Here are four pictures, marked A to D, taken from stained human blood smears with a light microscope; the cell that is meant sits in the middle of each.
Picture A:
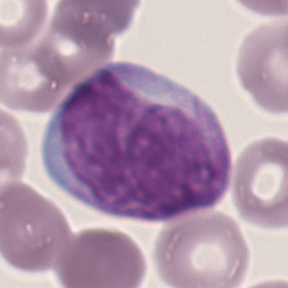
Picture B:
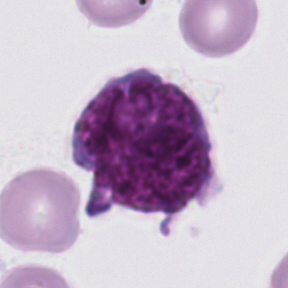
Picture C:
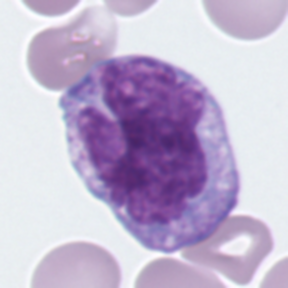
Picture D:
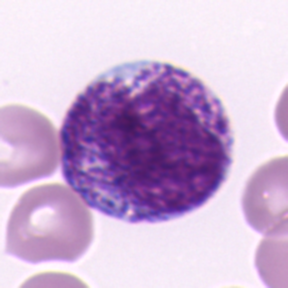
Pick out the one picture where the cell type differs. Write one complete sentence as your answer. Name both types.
The different one is picture D; it shows a myelocyte, whereas all the others show atypical promyelocytes.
